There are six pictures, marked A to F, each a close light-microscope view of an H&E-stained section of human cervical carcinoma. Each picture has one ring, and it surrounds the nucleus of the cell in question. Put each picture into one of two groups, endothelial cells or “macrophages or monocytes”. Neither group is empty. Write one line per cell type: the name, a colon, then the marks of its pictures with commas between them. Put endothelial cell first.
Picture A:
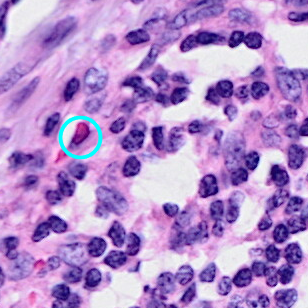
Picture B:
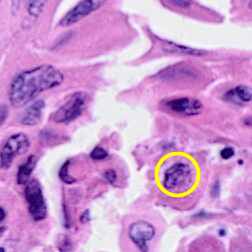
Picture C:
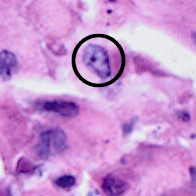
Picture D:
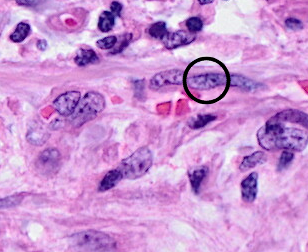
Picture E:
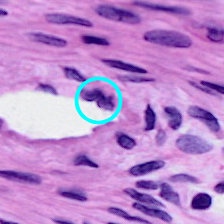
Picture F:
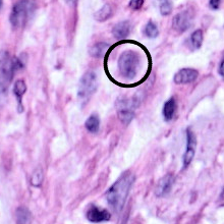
endothelial cell: A, D, E
macrophage or monocyte: B, C, F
